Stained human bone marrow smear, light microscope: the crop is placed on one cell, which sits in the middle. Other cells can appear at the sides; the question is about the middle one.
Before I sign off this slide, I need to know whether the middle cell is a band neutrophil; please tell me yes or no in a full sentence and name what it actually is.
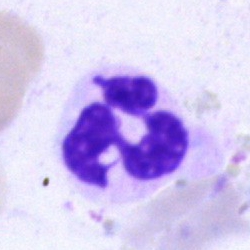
No, the correct answer for the middle cell is a segmented neutrophil, not a band neutrophil.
